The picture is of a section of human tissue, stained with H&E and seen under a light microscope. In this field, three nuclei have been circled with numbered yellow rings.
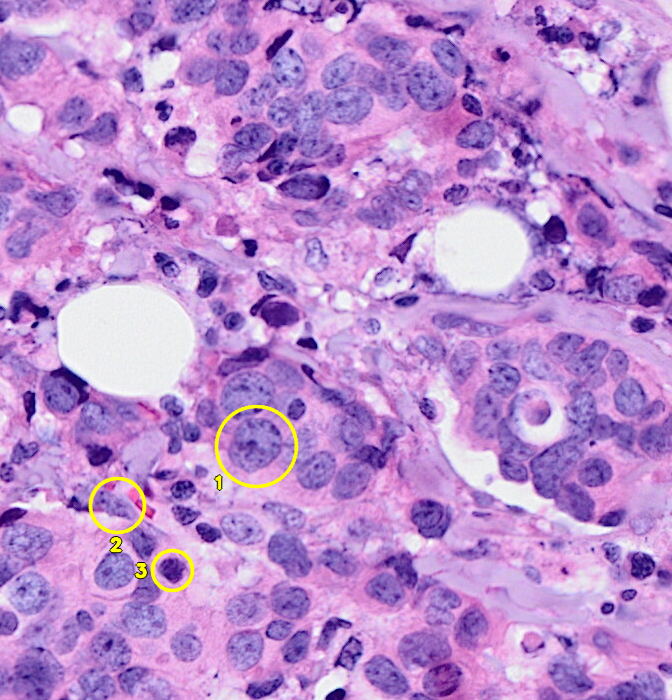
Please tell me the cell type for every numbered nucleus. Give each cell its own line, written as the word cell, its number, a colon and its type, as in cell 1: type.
cell 1: carcinoma cell
cell 2: endothelial cell
cell 3: carcinoma cell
